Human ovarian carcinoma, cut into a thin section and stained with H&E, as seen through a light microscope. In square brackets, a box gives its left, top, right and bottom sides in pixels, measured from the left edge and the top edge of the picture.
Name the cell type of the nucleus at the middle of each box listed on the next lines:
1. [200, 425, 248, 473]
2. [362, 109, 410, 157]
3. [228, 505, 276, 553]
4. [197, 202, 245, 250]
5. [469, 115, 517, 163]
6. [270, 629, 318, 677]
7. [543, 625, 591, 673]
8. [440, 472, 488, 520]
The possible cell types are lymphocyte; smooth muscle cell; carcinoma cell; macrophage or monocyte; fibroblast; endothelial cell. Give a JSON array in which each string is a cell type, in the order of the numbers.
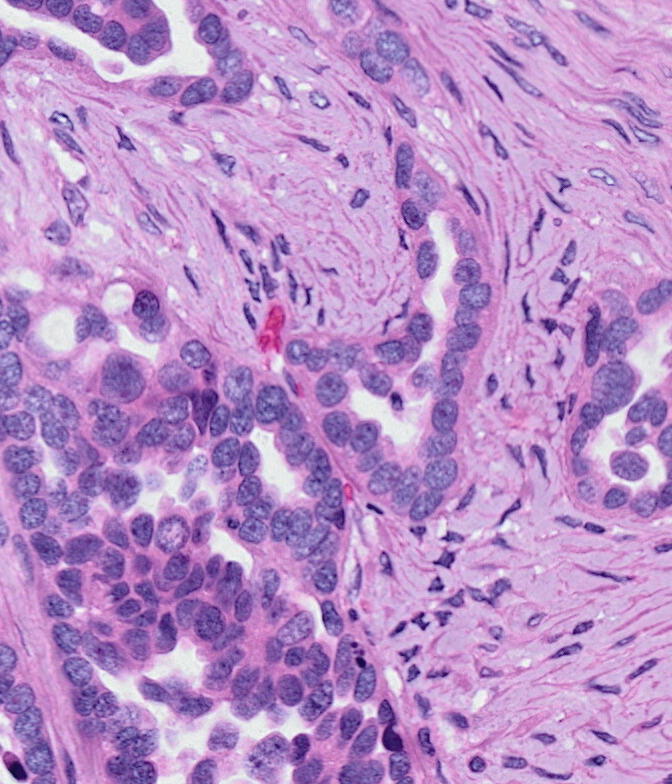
["carcinoma cell", "fibroblast", "carcinoma cell", "fibroblast", "fibroblast", "carcinoma cell", "fibroblast", "fibroblast"]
